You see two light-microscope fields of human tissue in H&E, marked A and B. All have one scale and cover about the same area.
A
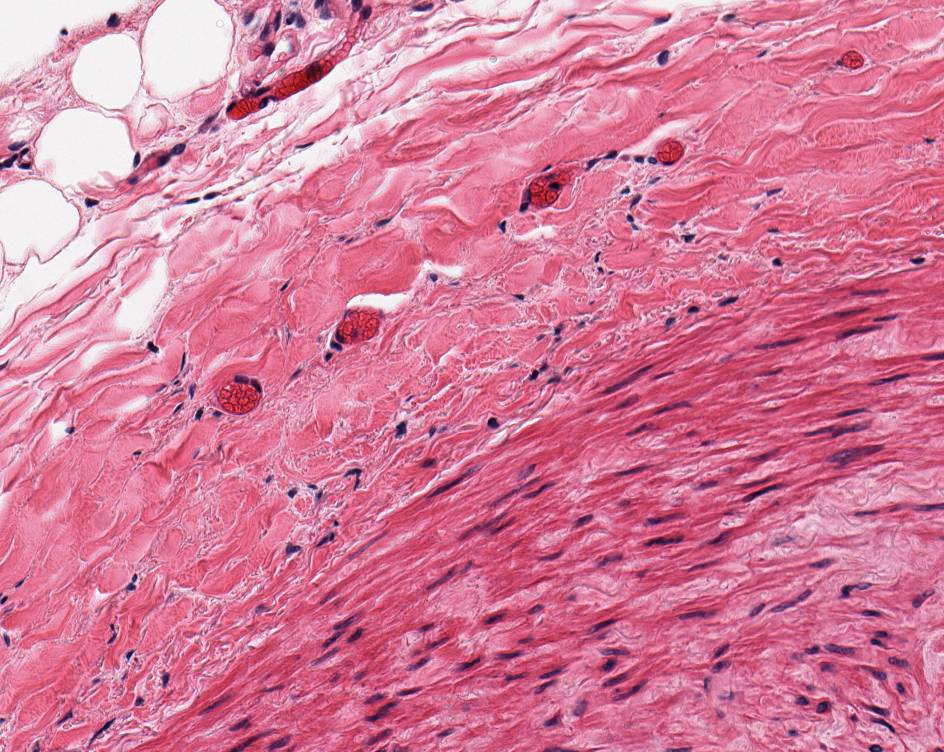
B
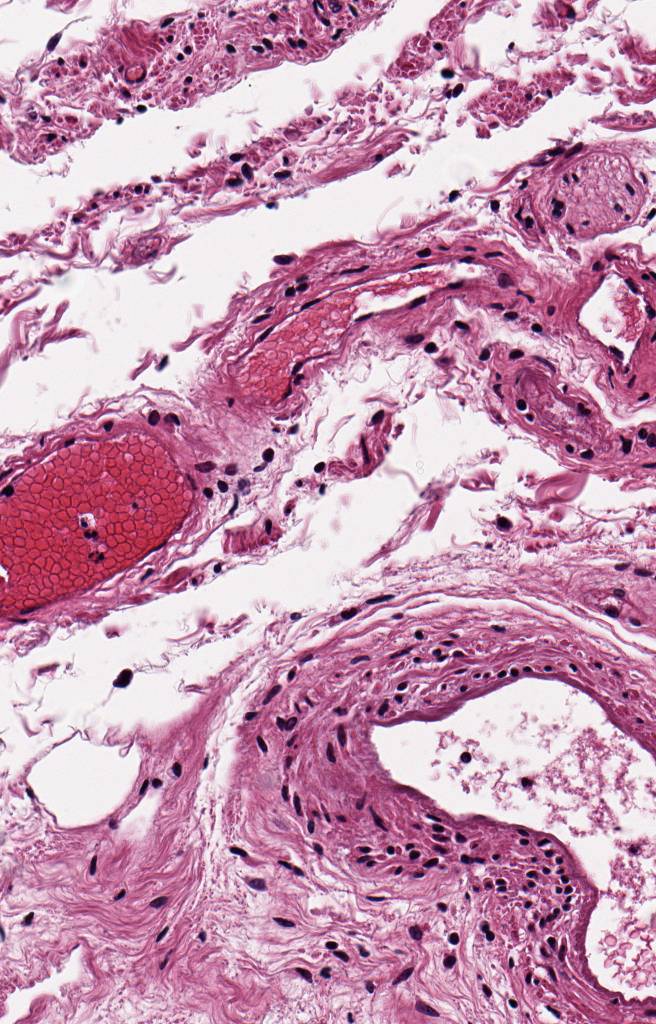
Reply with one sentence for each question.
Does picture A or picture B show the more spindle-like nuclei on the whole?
Longer, more slender nuclei lie in picture A.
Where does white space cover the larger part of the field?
More of picture B is empty and white.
